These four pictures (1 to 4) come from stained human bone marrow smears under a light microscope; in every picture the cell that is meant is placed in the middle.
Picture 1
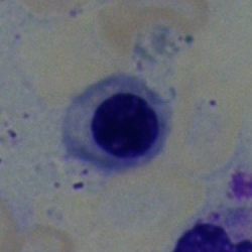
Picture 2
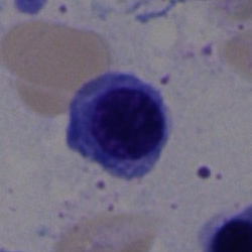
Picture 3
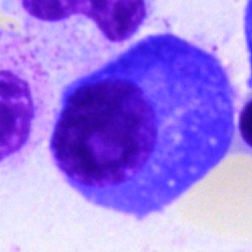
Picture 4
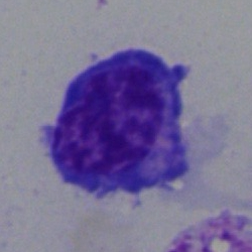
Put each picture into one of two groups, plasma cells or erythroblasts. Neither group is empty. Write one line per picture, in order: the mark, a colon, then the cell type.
1: erythroblast
2: erythroblast
3: plasma cell
4: erythroblast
